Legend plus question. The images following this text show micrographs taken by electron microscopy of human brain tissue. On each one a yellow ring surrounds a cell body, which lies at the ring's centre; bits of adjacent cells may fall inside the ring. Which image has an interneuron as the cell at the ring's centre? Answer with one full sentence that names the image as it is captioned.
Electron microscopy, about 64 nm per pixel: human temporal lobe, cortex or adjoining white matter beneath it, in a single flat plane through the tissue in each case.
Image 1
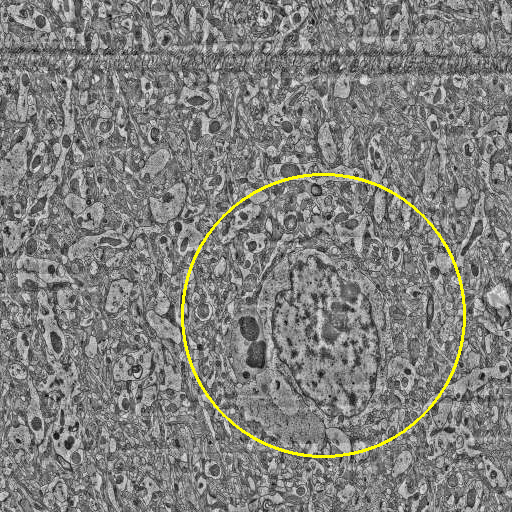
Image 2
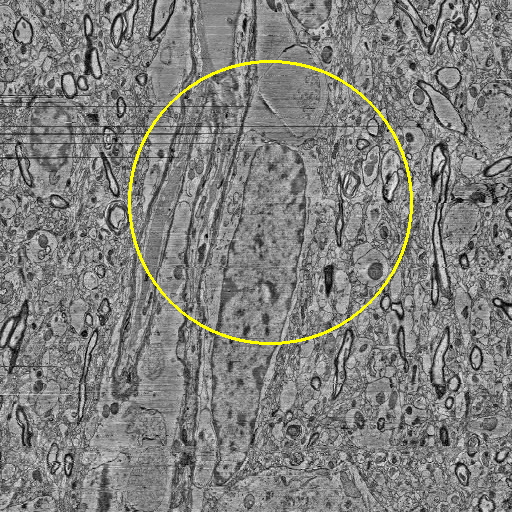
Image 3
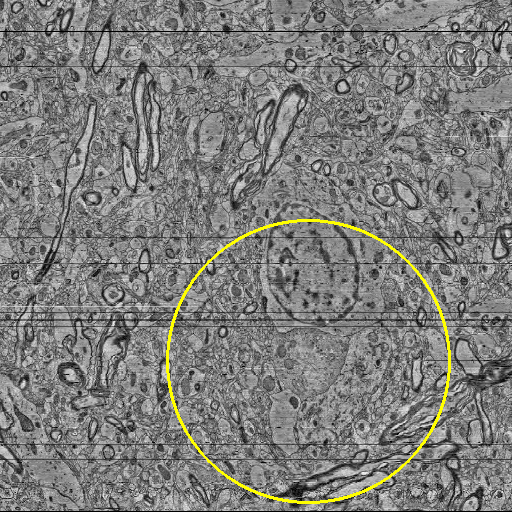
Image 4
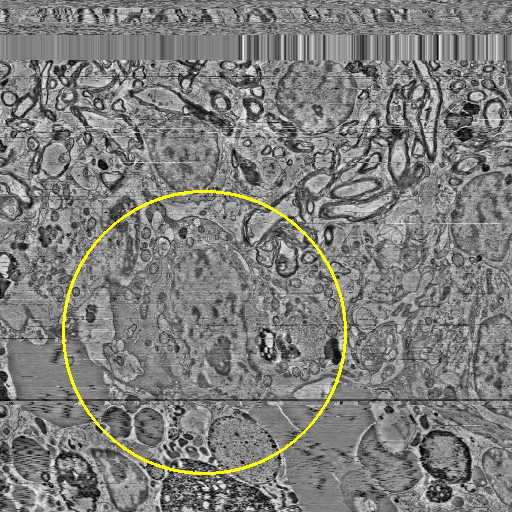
The centred cell that was asked for is the one in Image 1.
